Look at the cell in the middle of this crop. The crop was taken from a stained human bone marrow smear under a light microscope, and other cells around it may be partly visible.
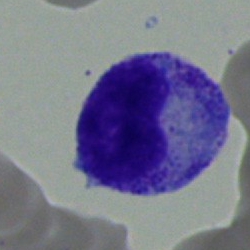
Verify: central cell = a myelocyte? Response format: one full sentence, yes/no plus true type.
No, this one is a metamyelocyte; it is not a myelocyte.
